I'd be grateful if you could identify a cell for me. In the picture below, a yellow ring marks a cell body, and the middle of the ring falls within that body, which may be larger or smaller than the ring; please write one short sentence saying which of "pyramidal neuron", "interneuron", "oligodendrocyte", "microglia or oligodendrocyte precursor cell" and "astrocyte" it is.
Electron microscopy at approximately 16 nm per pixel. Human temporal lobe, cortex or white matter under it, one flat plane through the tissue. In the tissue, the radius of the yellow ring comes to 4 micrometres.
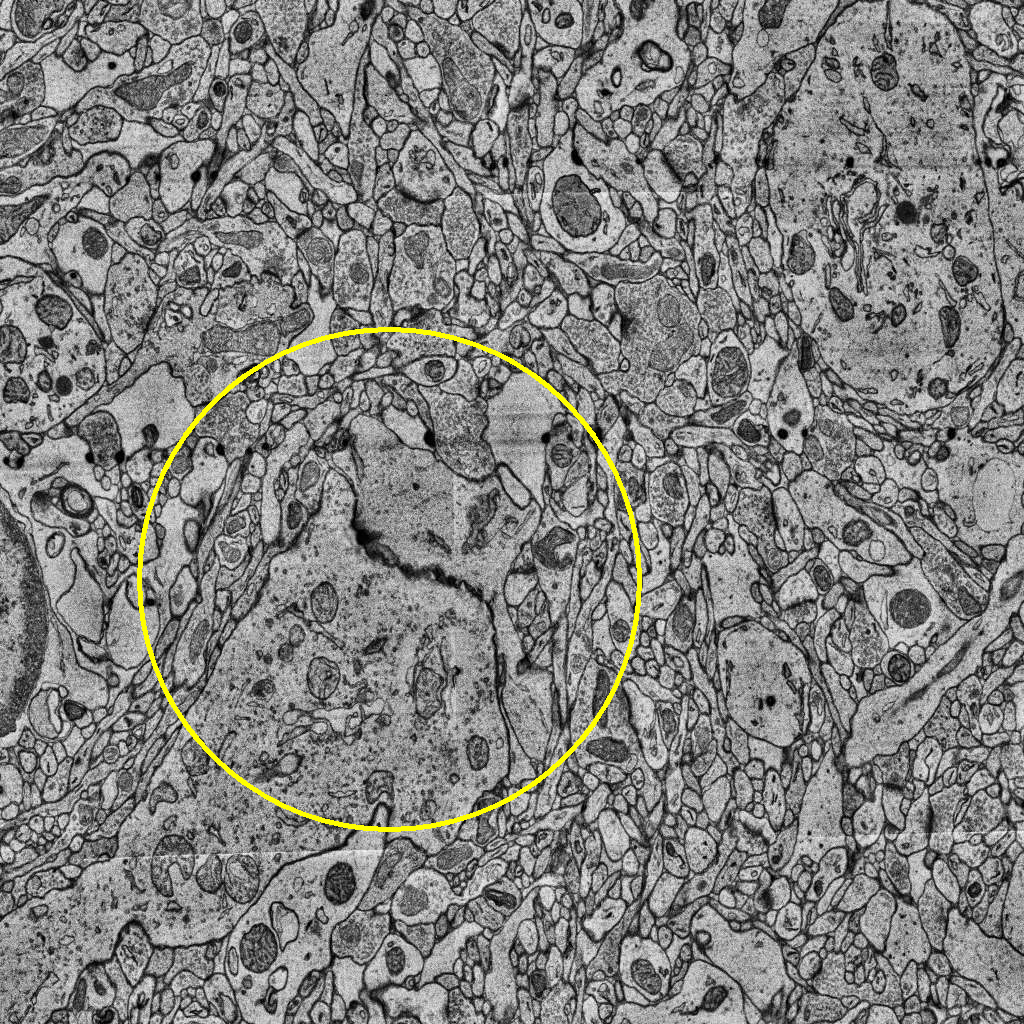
The cell under the ring's centre is an interneuron.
